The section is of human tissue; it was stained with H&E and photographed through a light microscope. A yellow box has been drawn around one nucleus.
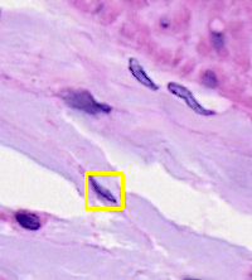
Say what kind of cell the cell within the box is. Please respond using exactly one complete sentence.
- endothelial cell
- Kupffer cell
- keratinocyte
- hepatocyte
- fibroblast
In the stained section, the cell within the box is a fibroblast.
